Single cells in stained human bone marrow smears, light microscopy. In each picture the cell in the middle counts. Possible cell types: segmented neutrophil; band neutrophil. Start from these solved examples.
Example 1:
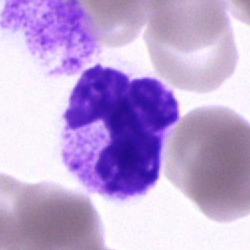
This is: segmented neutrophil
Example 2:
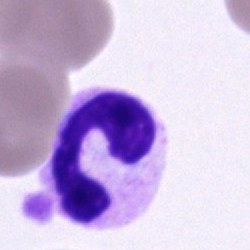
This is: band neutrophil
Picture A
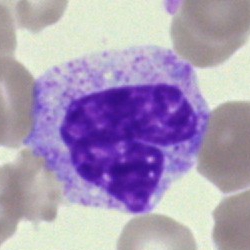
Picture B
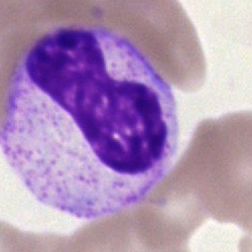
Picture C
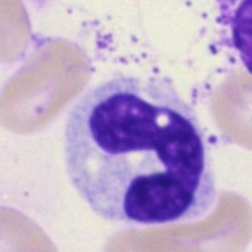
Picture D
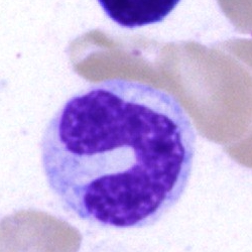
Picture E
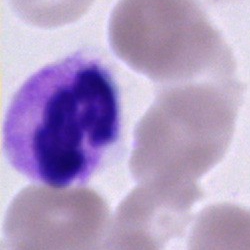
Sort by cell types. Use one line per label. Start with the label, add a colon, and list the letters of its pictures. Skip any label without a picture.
segmented neutrophil: E
band neutrophil: A, B, C, D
